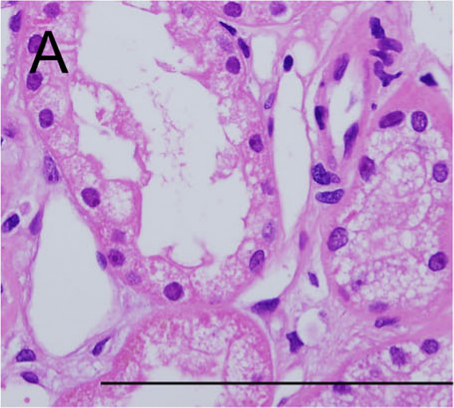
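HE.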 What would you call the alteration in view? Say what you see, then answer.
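Tubular epithelial cells have cytoplasm filled with many small clear vacuoles. The cytoplasm looks foamy.
Vacuolization.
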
